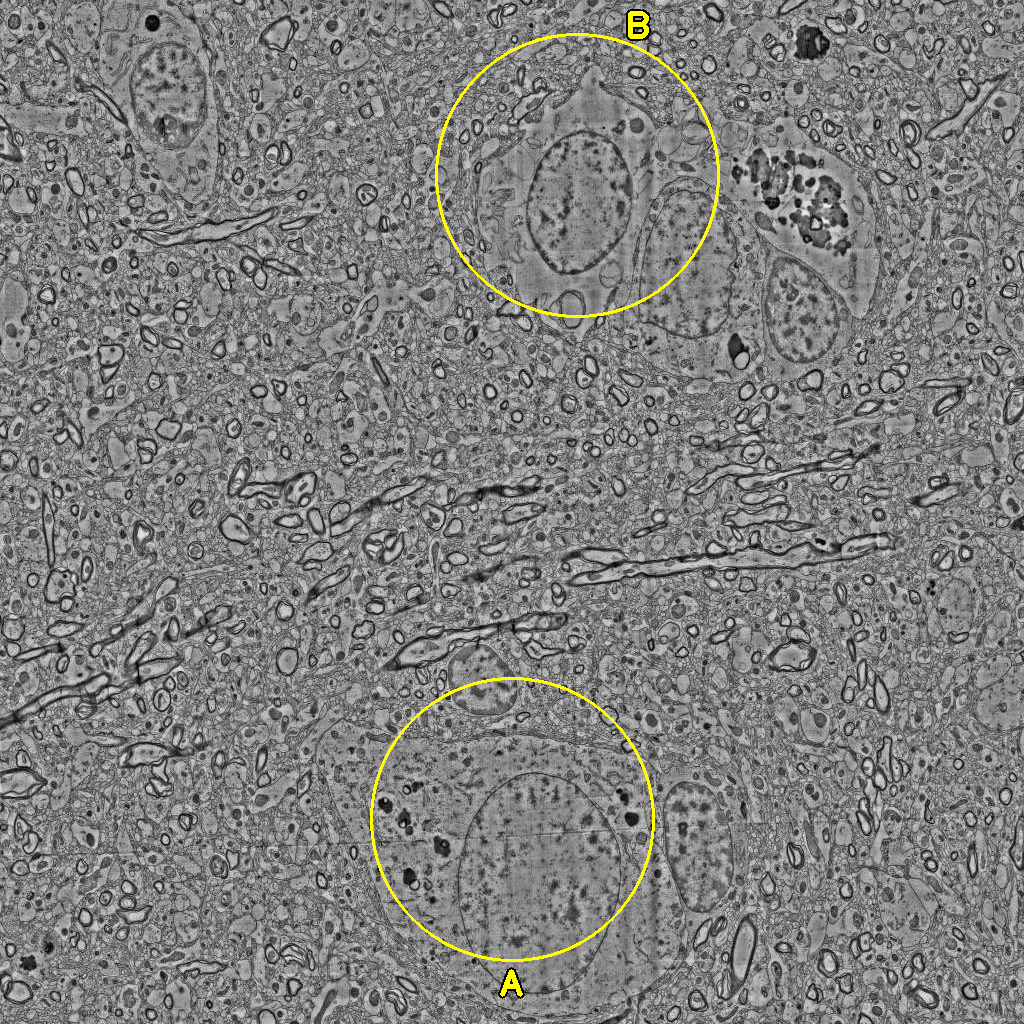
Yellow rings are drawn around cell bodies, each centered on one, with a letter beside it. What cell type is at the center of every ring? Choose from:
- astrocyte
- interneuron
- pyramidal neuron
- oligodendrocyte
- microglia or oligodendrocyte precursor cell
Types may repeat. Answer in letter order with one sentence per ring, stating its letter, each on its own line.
The cell at the center of ring A is a pyramidal neuron.
The cell at the center of ring B is an astrocyte.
